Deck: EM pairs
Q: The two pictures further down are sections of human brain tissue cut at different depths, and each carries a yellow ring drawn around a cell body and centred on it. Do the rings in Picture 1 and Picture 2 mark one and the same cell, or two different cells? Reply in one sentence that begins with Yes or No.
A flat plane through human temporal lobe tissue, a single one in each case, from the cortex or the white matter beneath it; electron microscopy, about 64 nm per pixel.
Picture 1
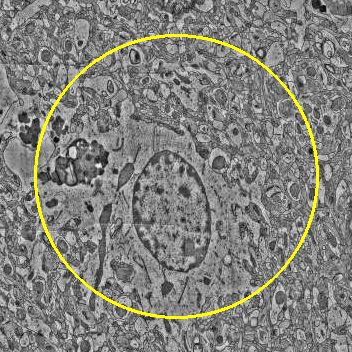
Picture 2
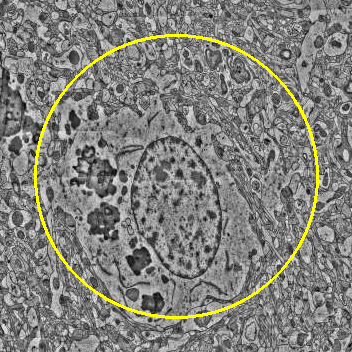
Yes, these two rings point to one cell rather than two.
